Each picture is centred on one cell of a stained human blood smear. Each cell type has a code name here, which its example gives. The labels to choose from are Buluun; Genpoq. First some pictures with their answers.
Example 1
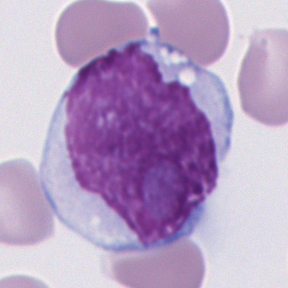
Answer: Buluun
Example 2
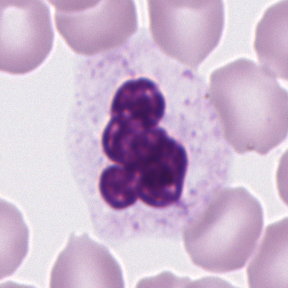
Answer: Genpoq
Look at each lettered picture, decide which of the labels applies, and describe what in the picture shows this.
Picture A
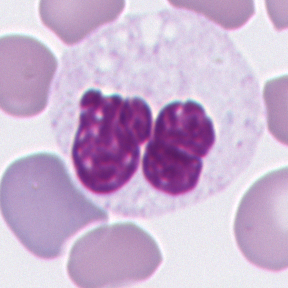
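Genpoq. The cytoplasm is abundant and very pale.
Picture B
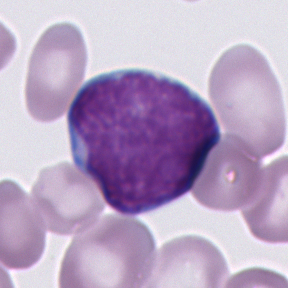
Buluun. The cytoplasm is only a thin rim that is widest at the left edge.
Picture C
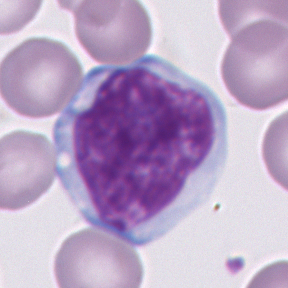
Buluun. The cytoplasm forms a narrow rim around the nucleus.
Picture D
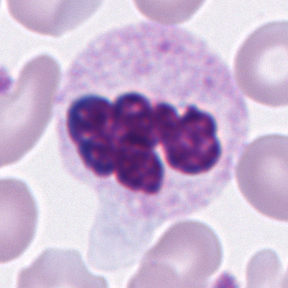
Genpoq. The cytoplasm is abundant and pale pinkish-lilac.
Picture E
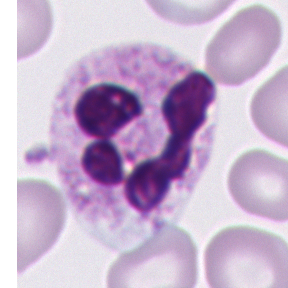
Genpoq. The nucleus is divided into at least three separate lobes.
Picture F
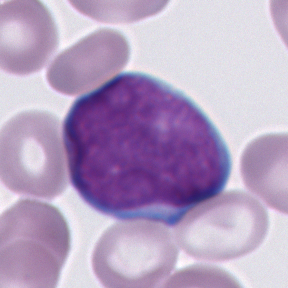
Buluun. The cytoplasm forms only a thin rim around the nucleus.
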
